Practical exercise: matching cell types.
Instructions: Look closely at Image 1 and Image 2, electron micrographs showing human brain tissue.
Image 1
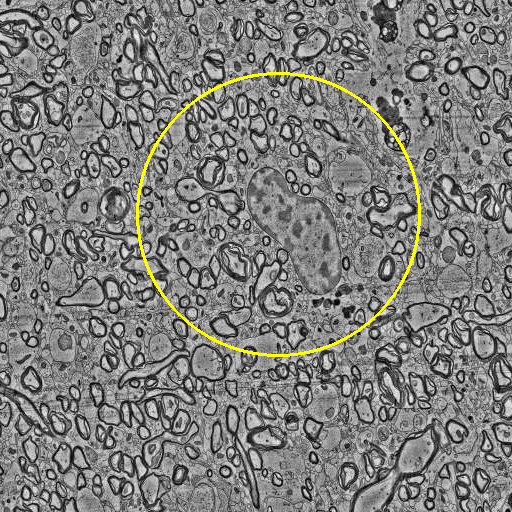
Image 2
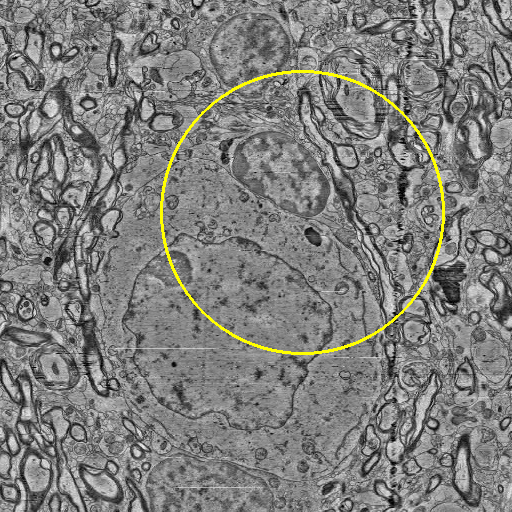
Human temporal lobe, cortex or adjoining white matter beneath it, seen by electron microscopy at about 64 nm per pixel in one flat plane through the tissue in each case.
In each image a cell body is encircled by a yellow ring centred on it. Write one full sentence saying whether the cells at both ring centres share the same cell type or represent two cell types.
Across Image 1 and Image 2, the cells at the ring centres share the same cell type.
